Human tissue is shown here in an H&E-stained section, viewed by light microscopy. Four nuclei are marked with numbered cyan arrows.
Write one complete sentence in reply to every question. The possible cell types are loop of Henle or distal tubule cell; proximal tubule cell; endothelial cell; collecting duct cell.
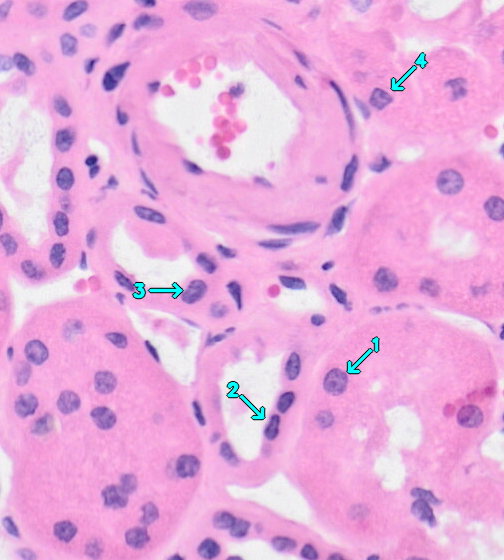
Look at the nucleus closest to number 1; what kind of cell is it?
Number 1 lies closest to the nucleus of a proximal tubule cell.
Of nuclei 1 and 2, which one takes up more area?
Nucleus 1 is larger, with an area about 1.5 times that of nucleus 2.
